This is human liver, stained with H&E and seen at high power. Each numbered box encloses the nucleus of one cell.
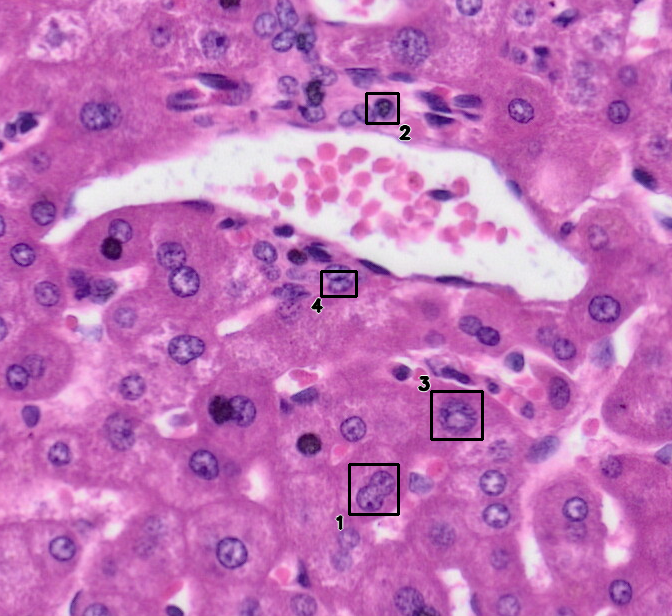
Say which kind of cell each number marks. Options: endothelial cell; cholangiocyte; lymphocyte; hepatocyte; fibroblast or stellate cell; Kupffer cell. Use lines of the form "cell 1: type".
cell 1: hepatocyte
cell 2: cholangiocyte
cell 3: hepatocyte
cell 4: cholangiocyte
